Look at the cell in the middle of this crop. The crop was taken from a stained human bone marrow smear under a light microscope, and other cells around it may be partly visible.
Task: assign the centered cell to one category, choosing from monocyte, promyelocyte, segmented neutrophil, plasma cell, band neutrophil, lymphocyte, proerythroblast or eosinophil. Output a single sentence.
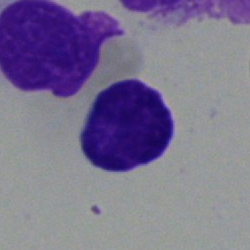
Answering briefly, the cell in the middle is a lymphocyte.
